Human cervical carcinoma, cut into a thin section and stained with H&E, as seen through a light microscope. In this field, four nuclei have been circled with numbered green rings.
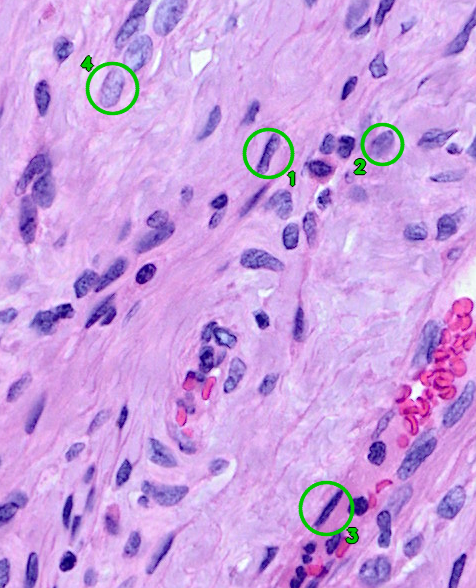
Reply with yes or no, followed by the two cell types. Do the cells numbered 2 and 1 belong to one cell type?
Yes, among the marked cells, numbers 2 and 1 are both fibroblasts.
